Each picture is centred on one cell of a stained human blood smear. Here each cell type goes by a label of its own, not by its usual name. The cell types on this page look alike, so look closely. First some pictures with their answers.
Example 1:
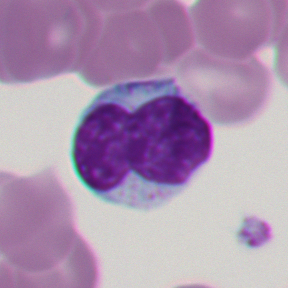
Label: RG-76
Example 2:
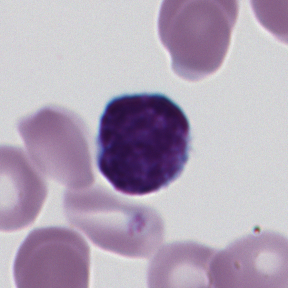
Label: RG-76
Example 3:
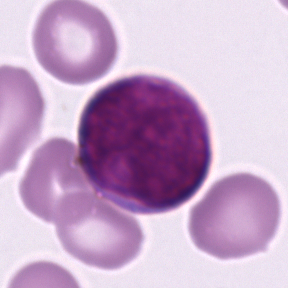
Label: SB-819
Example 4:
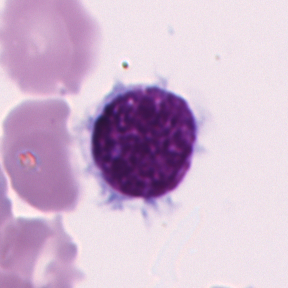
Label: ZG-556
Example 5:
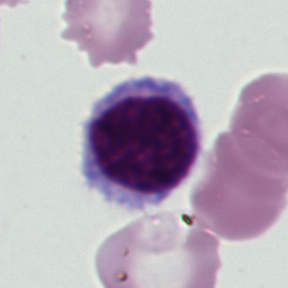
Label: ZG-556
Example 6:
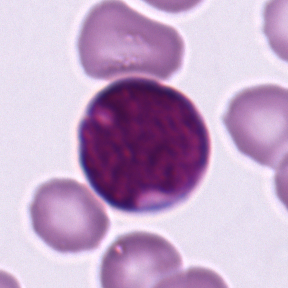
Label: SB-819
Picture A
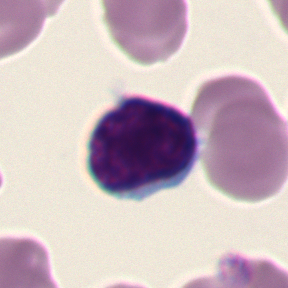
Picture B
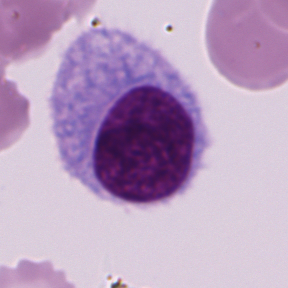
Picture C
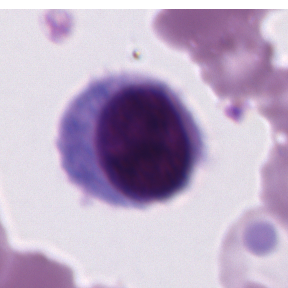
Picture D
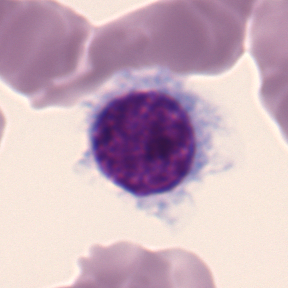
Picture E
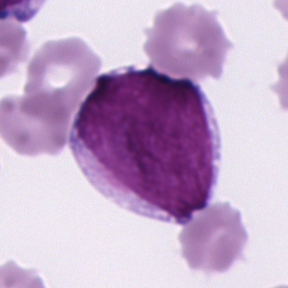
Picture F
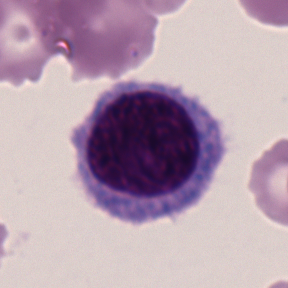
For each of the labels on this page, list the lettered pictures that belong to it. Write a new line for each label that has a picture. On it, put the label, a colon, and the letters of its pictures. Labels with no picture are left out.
RG-76: A
SB-819: E
ZG-556: B, C, D, F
